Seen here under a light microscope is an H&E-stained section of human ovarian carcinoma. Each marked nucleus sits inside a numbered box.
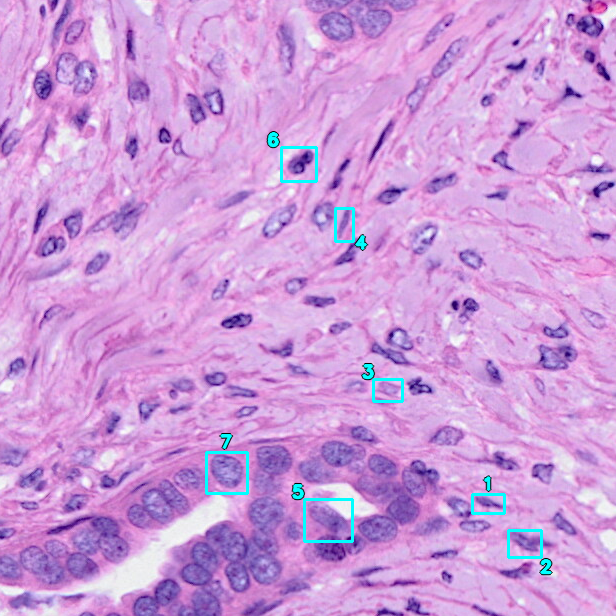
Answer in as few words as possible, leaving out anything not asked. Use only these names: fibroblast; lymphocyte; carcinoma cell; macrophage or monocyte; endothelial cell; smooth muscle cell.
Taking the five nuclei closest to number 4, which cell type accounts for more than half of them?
macrophage or monocyte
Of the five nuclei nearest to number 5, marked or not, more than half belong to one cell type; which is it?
carcinoma cell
